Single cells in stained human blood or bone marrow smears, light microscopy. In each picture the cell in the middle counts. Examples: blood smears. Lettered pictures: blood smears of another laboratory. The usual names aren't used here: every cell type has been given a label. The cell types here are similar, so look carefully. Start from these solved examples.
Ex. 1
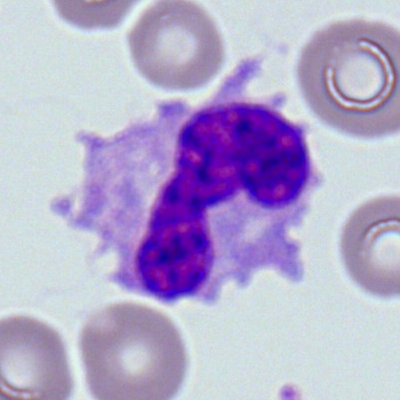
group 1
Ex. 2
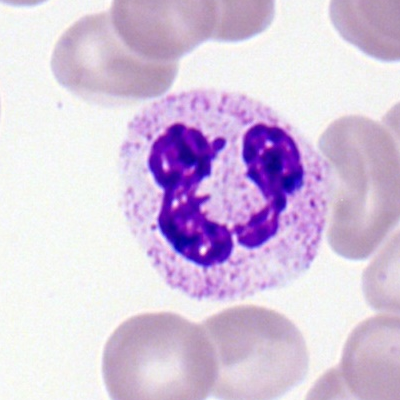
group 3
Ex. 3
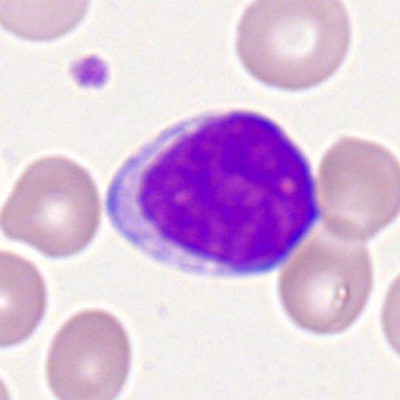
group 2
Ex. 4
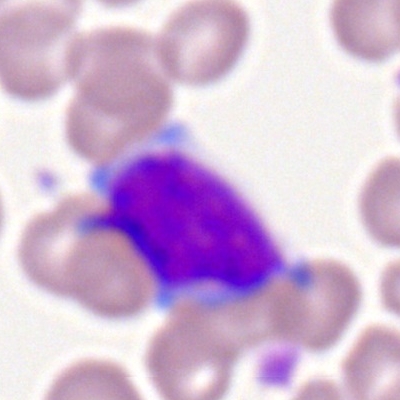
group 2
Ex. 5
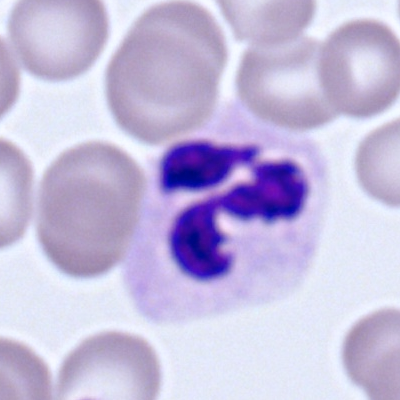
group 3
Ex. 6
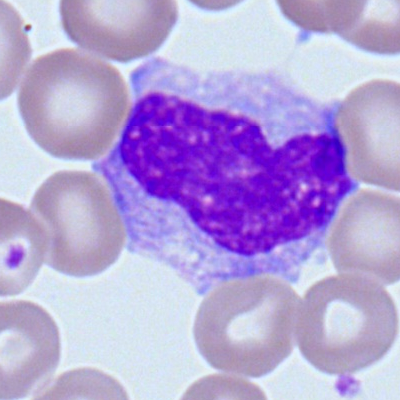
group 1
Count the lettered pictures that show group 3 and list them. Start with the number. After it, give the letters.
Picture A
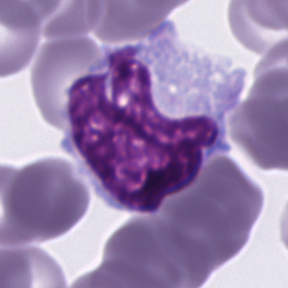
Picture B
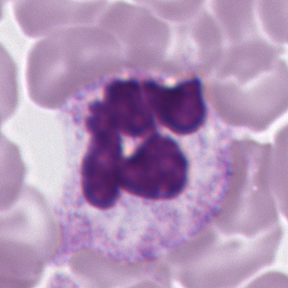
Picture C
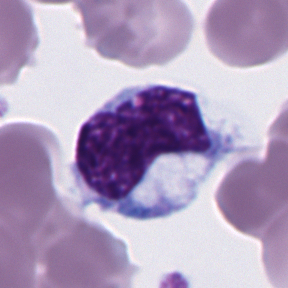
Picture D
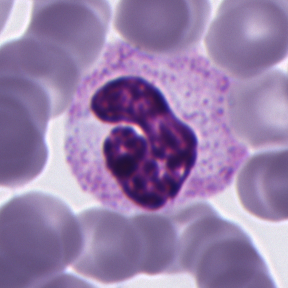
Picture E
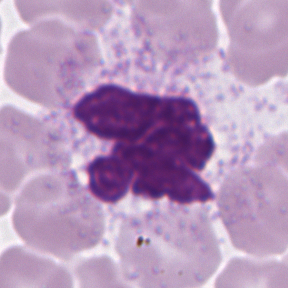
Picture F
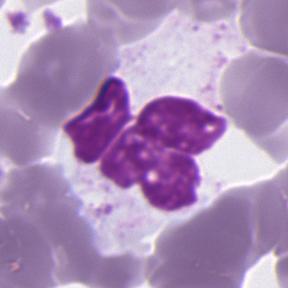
4: B, D, E, F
